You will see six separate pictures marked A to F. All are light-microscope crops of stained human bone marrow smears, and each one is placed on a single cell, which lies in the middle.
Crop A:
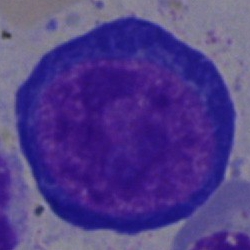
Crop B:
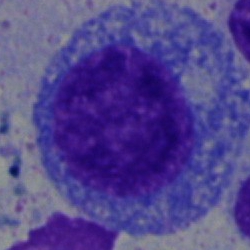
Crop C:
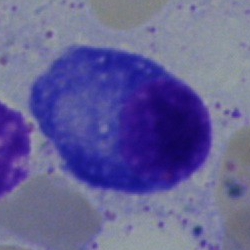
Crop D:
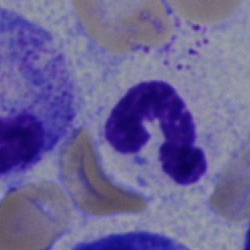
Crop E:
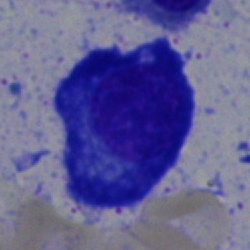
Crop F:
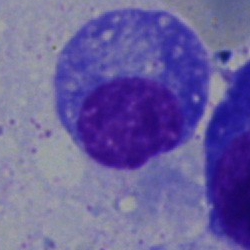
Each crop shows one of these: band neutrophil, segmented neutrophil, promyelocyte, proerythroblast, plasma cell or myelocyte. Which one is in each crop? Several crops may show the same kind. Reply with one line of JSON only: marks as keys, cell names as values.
{"A": "proerythroblast", "B": "promyelocyte", "C": "plasma cell", "D": "band neutrophil", "E": "plasma cell", "F": "plasma cell"}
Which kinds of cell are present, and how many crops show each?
plasma cell: 3
proerythroblast: 1
promyelocyte: 1
band neutrophil: 1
